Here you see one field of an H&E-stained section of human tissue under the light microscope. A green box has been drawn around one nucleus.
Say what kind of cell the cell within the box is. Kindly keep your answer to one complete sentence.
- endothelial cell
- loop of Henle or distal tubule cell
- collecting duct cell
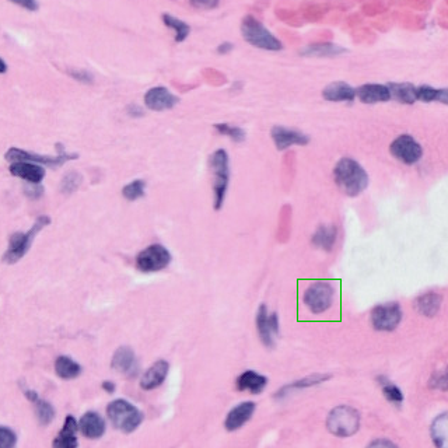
The identity of the cell within the box: it is a loop of Henle or distal tubule cell.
